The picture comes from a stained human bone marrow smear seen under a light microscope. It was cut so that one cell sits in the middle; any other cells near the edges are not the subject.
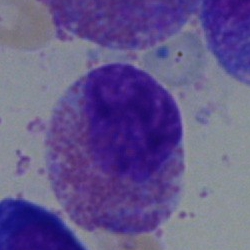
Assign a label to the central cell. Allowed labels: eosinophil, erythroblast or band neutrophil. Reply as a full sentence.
In the centre of this crop there is an eosinophil.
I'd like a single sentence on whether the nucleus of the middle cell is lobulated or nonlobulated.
There is one compact nucleus, and its shape is round, oval or kidney-like.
